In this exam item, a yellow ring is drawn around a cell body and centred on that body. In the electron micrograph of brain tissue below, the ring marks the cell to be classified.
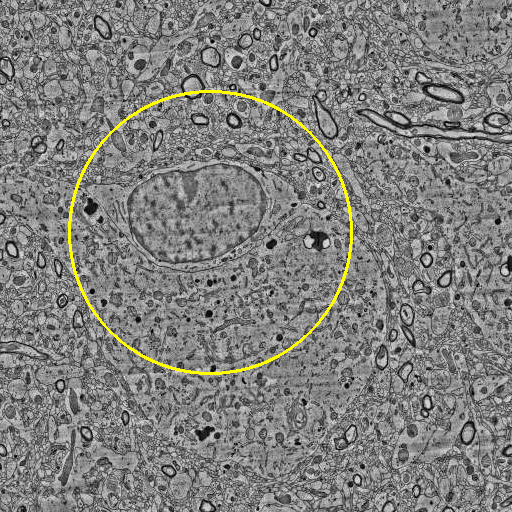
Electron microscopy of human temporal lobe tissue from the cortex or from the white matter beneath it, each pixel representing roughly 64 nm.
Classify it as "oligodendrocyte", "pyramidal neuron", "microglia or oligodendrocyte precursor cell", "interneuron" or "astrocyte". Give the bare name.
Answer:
microglia or oligodendrocyte precursor cell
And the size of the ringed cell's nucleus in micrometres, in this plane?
In this plane the nucleus is about 9 micrometres by 6.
